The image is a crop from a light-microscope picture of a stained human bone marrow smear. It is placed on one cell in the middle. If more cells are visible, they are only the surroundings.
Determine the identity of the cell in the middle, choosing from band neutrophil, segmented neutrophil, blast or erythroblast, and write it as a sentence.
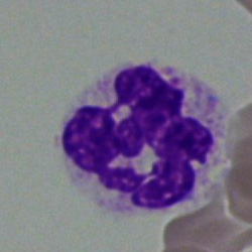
For this crop, the central cell is a segmented neutrophil.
